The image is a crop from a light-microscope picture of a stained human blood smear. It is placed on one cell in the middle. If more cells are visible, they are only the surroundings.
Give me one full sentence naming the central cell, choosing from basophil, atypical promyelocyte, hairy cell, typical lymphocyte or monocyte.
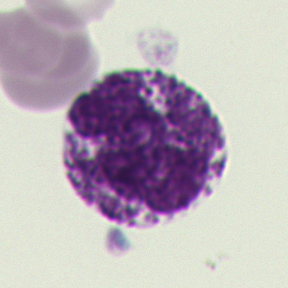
The cell sitting right in the middle is a basophil.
